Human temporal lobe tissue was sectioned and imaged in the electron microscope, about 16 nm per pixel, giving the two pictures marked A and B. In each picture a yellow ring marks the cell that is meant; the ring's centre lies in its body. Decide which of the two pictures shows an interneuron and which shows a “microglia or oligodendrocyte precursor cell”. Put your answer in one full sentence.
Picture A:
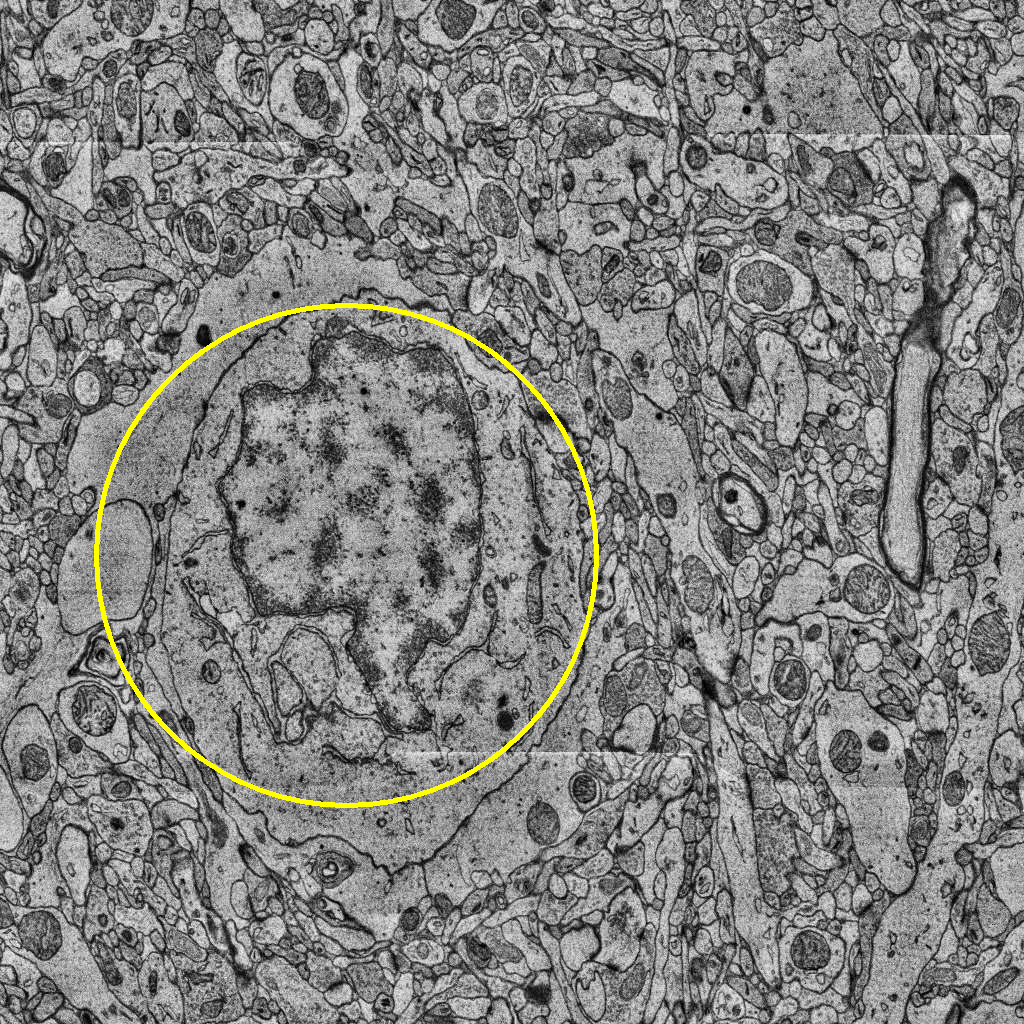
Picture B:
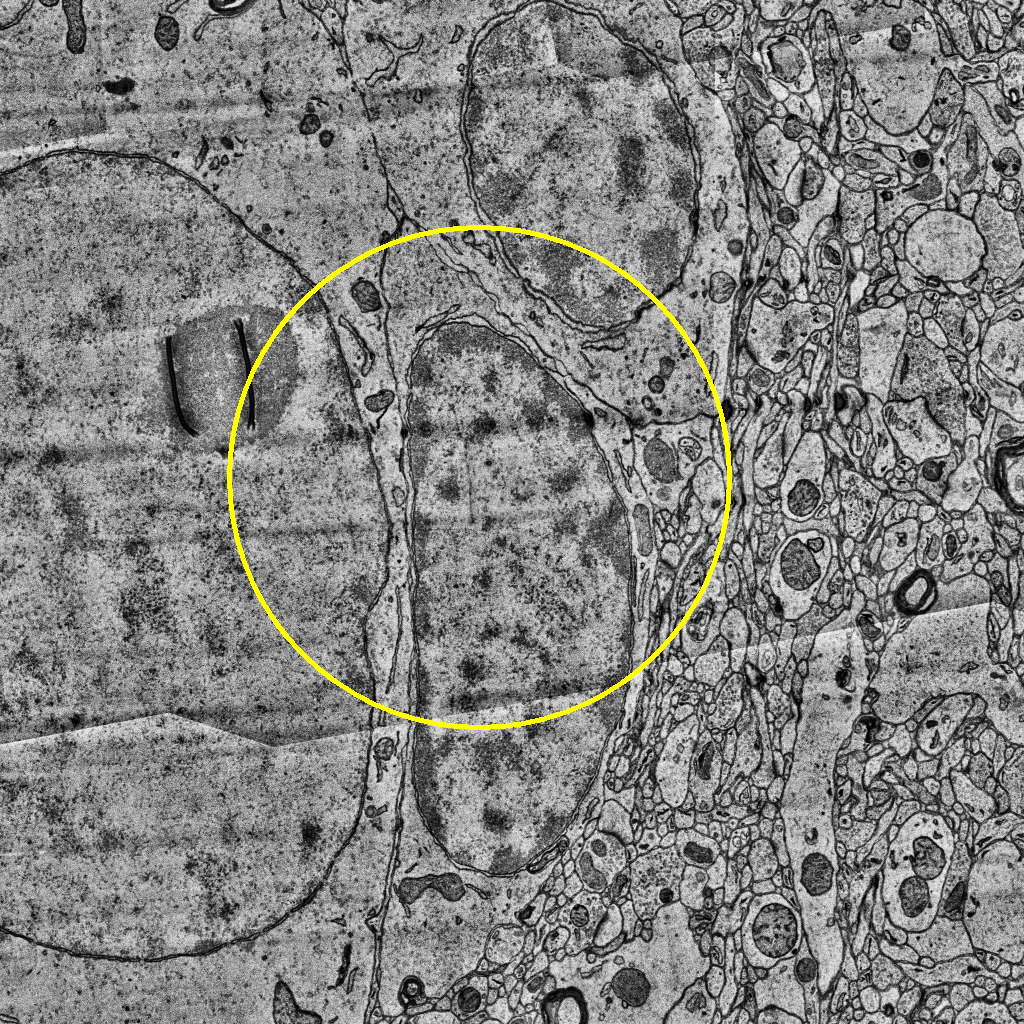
Picture A is of an interneuron, and picture B is of a “microglia or oligodendrocyte precursor cell”.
